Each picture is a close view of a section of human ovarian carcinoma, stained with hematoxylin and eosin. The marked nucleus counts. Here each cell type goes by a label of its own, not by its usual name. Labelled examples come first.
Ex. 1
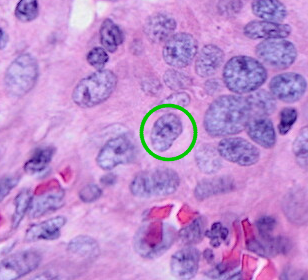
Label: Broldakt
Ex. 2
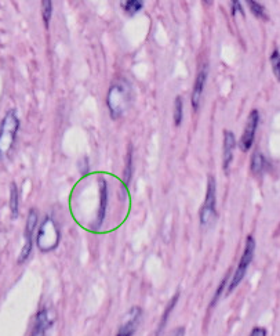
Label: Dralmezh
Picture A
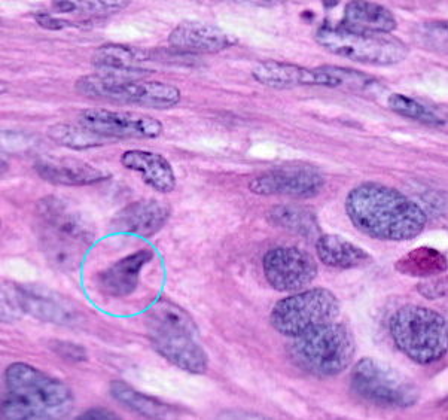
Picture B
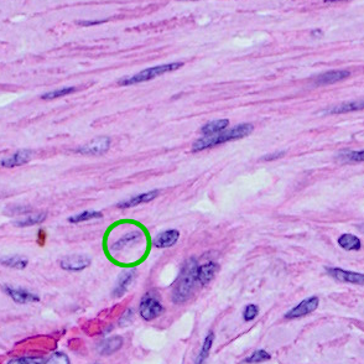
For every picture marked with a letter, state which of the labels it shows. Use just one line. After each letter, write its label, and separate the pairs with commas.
A Broldakt, B Dralmezh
